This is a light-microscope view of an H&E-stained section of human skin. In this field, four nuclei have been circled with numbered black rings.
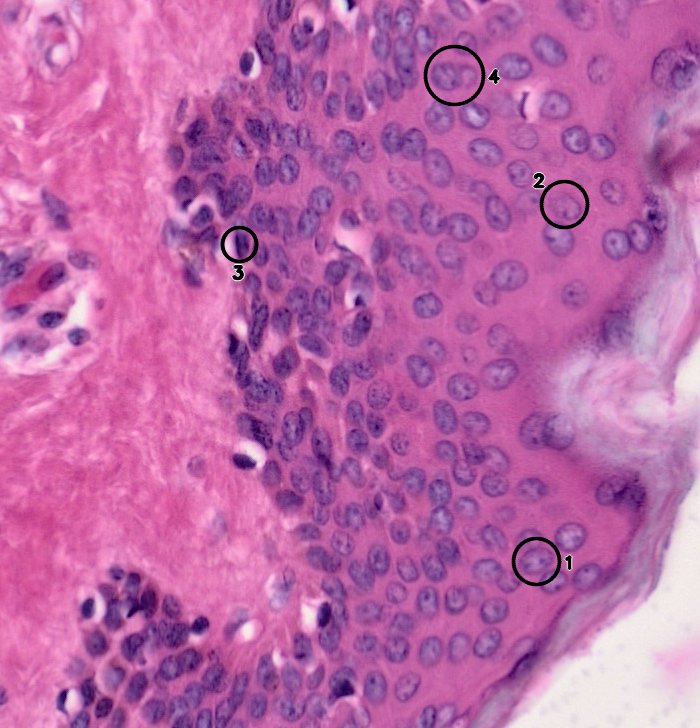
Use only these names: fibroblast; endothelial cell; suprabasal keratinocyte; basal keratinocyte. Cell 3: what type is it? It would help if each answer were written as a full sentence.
It is as a basal keratinocyte that the cell numbered 3 is identified.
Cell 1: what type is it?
In the tissue shown, cell 1 is a suprabasal keratinocyte.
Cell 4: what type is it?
The cell whose nucleus carries the number 4 is a suprabasal keratinocyte.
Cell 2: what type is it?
The cell assigned the number 2 is a suprabasal keratinocyte.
